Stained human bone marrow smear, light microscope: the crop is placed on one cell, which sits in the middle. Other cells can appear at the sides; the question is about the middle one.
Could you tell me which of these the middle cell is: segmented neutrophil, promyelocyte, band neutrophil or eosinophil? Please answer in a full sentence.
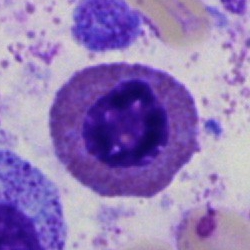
Answering briefly, the cell in the middle is an eosinophil.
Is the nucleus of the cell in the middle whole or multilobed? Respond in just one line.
The nuclear material is gathered into one compact round, oval or kidney-shaped mass.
